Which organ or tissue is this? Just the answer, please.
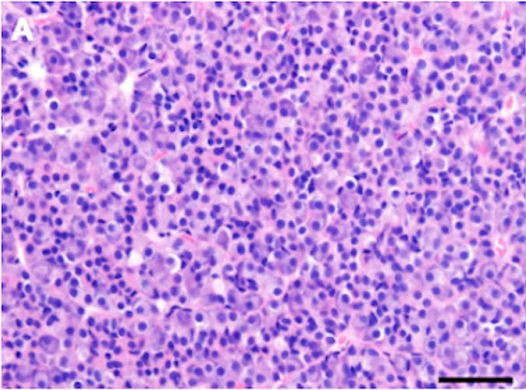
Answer: anterior pituitary gland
